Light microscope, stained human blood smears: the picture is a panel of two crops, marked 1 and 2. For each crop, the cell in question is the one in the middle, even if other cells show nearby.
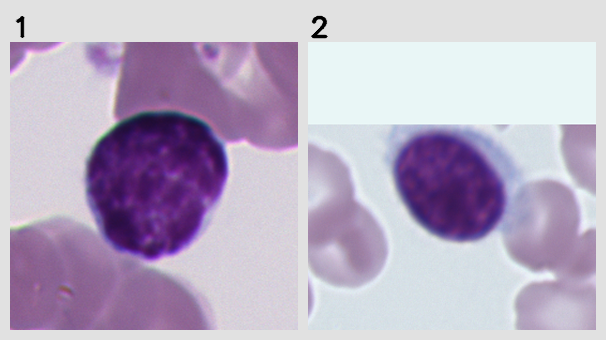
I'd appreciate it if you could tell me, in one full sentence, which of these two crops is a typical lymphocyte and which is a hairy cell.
Crop 1 is a typical lymphocyte, and, separately, crop 2 is a hairy cell.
